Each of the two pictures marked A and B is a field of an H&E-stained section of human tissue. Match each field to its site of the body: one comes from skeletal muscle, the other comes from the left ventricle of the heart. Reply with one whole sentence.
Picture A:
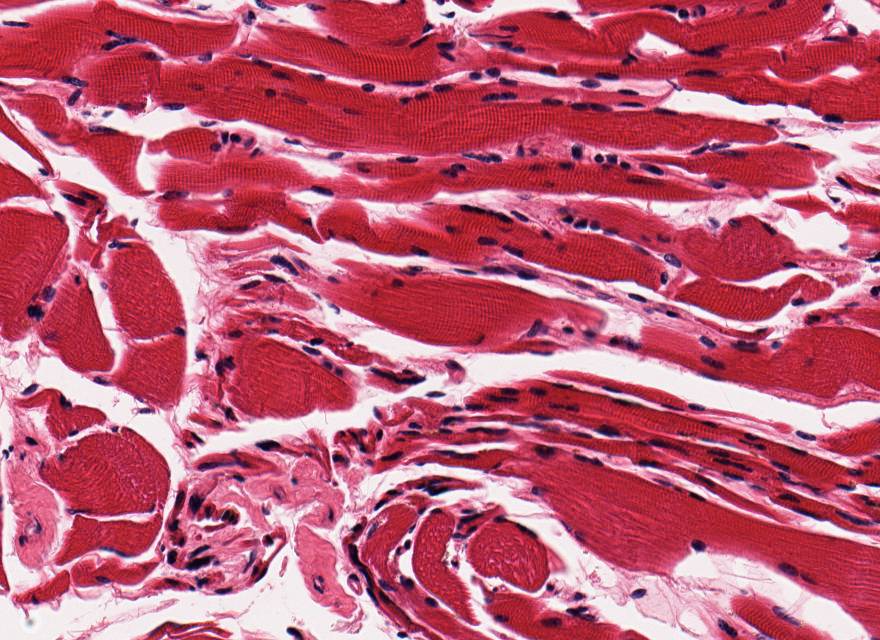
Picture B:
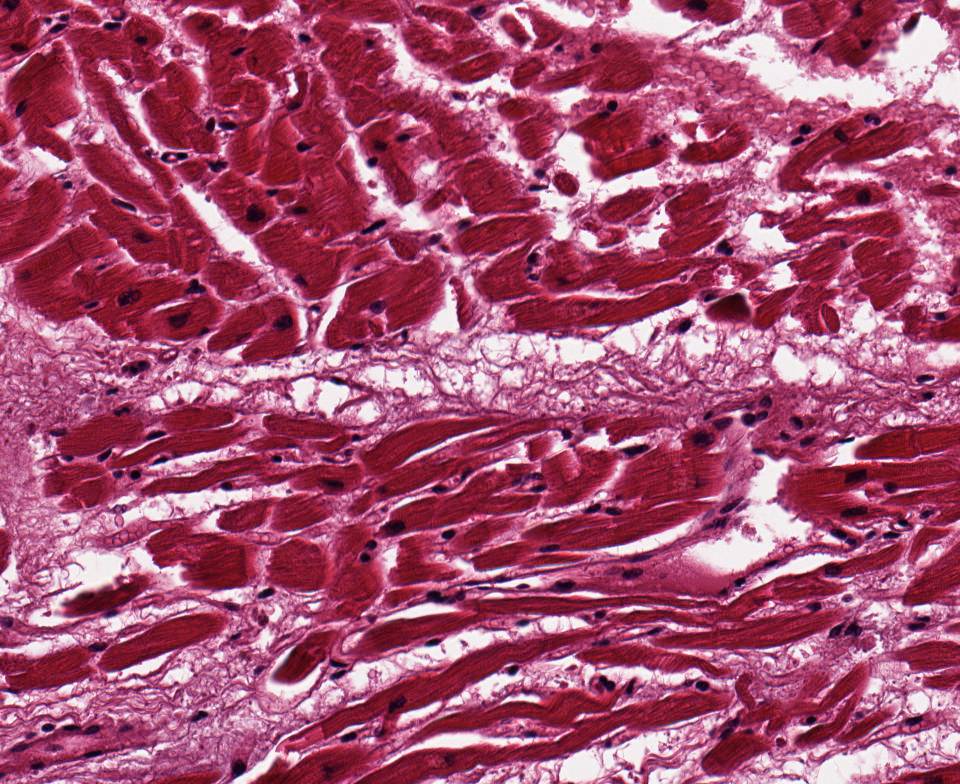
Picture B comes from the left ventricle of the heart, while picture A comes from skeletal muscle.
